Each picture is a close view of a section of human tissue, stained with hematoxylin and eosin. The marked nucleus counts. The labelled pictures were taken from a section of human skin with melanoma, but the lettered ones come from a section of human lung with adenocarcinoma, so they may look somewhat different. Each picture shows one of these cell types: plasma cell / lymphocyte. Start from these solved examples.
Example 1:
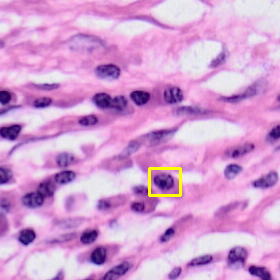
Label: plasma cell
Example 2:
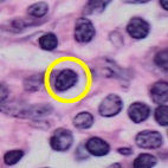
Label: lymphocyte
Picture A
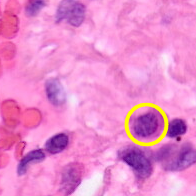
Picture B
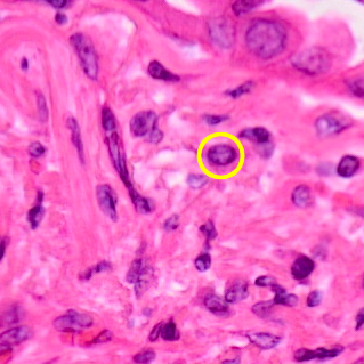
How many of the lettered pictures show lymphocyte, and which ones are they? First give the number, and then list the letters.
0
